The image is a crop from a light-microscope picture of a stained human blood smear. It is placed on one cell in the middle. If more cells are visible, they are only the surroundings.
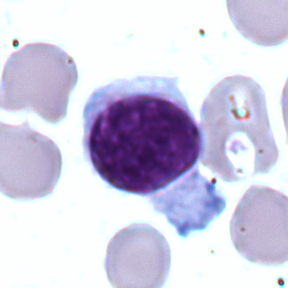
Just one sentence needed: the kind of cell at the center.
The middle of this crop holds a plasma cell.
